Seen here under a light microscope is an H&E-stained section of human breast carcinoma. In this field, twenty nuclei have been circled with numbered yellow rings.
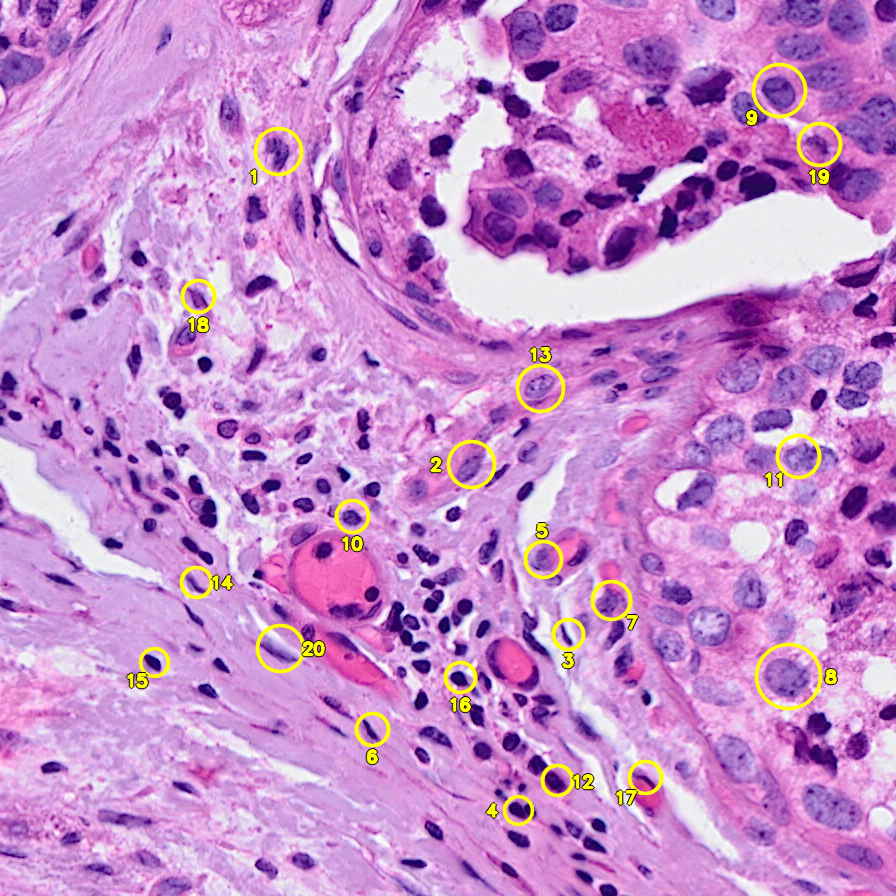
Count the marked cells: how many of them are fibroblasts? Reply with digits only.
5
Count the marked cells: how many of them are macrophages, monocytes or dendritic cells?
1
